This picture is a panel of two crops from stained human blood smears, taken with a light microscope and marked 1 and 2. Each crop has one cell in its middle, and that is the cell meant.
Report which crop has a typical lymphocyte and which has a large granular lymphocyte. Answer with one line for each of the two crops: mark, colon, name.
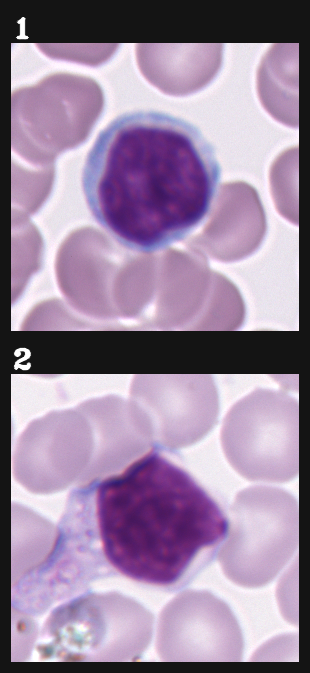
1: typical lymphocyte
2: large granular lymphocyte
